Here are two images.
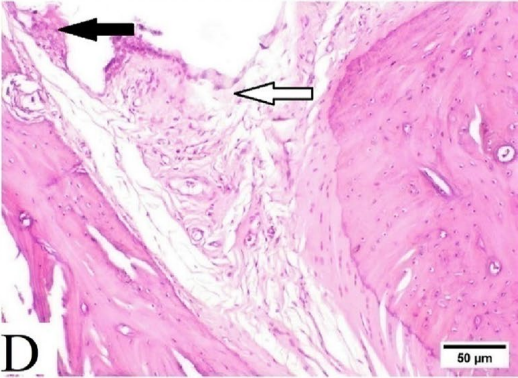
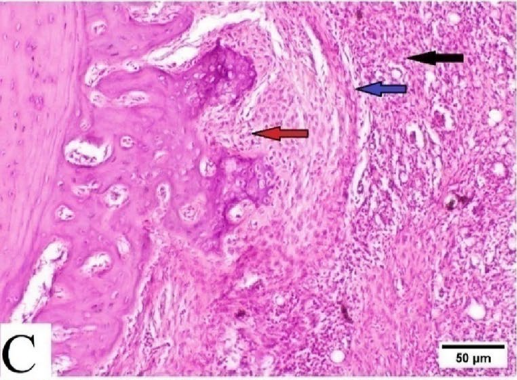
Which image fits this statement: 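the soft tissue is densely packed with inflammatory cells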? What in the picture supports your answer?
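The second image. First image: loose pale connective tissue with scattered cells. Second image: sheets of crowded small cells with dark nuclei fill the soft tissue.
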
